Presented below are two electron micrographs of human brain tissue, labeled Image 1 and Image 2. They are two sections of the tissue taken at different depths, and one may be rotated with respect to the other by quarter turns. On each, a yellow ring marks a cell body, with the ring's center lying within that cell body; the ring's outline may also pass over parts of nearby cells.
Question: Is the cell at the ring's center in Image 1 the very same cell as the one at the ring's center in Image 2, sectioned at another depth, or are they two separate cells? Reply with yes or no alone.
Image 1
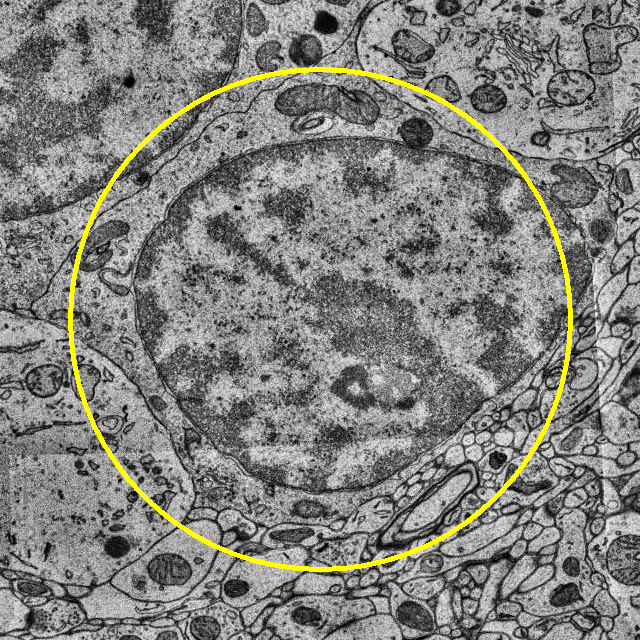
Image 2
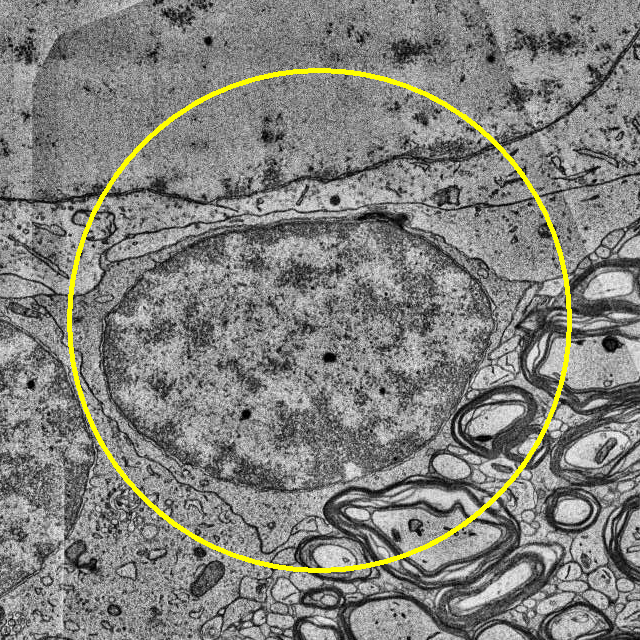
no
